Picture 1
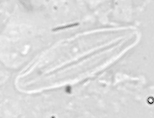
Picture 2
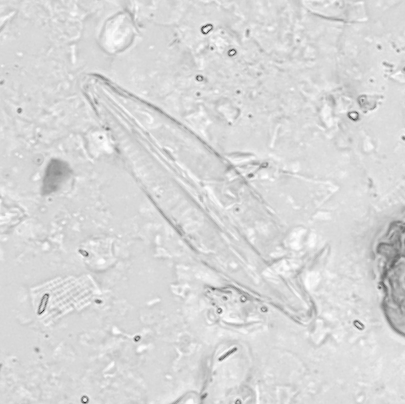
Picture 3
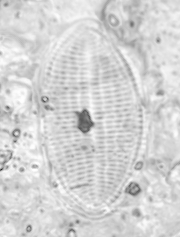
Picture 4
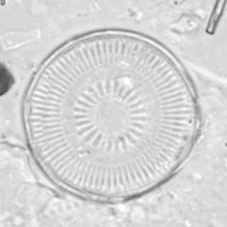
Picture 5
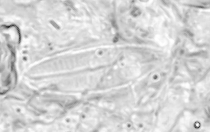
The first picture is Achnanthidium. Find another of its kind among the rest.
Picture 5.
